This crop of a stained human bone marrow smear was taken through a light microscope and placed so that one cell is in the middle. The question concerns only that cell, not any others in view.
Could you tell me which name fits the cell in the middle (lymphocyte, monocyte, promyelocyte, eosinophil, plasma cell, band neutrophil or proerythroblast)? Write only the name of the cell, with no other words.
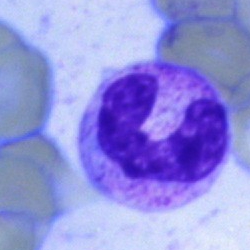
band neutrophil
